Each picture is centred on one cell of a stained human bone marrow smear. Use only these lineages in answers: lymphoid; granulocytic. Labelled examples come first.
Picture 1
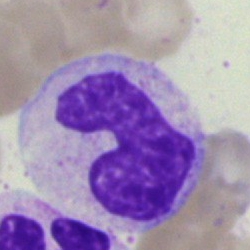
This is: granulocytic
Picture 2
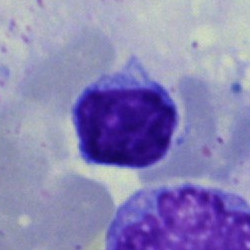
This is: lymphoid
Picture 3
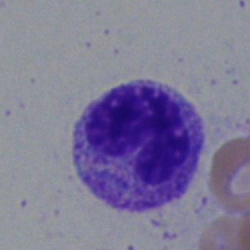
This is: granulocytic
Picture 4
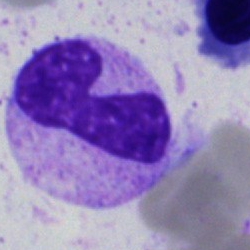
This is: granulocytic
